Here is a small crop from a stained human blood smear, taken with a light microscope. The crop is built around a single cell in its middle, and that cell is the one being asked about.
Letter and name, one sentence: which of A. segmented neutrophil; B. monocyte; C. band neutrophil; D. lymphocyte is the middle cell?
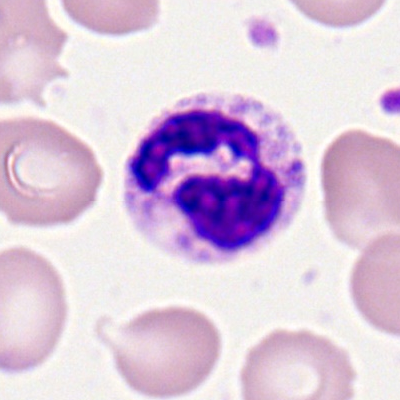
Option A is the right choice, the central cell being a segmented neutrophil.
